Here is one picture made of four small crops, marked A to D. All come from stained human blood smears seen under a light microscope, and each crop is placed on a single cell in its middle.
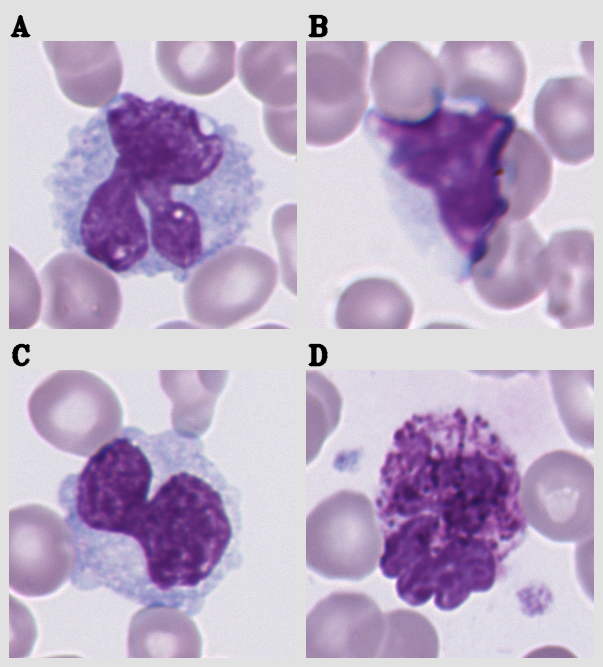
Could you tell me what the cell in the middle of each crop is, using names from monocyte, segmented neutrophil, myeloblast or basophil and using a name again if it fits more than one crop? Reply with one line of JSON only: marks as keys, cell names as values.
{"A": "monocyte", "B": "myeloblast", "C": "monocyte", "D": "basophil"}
